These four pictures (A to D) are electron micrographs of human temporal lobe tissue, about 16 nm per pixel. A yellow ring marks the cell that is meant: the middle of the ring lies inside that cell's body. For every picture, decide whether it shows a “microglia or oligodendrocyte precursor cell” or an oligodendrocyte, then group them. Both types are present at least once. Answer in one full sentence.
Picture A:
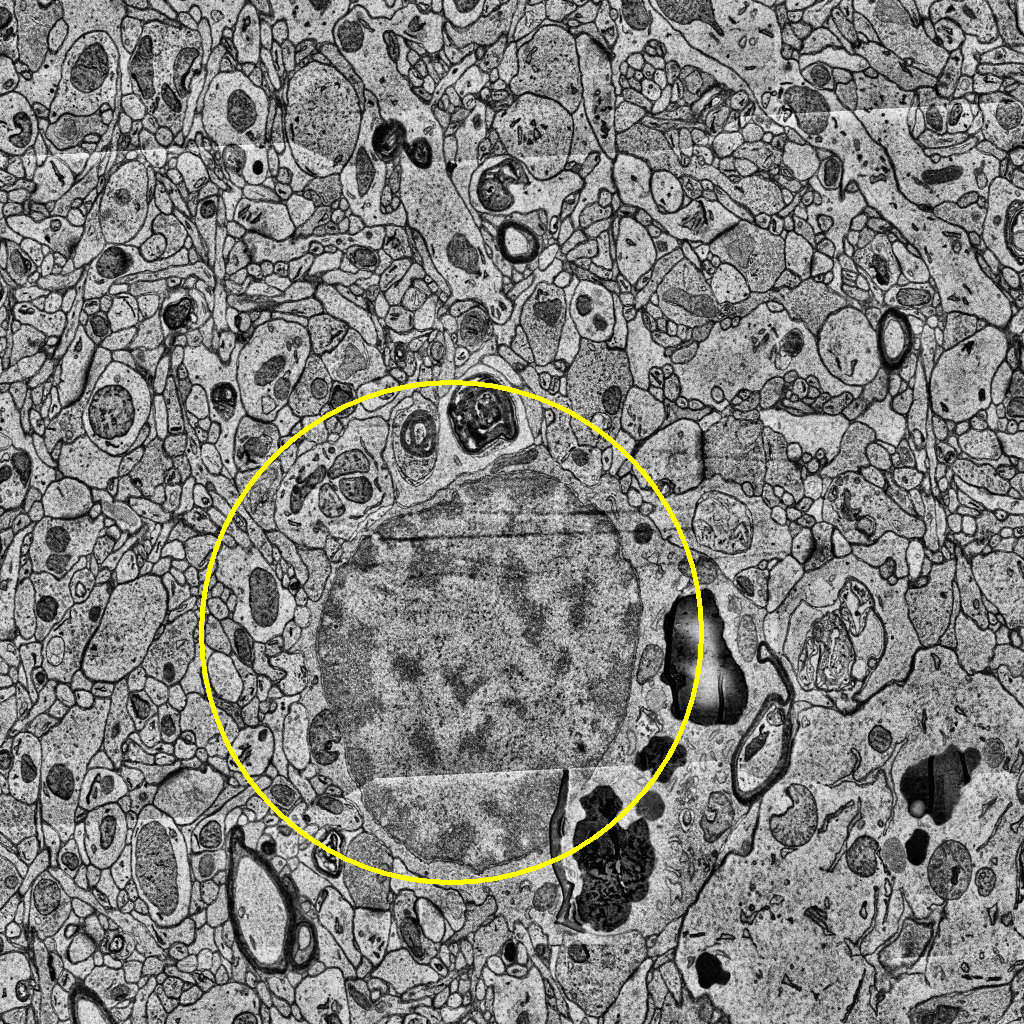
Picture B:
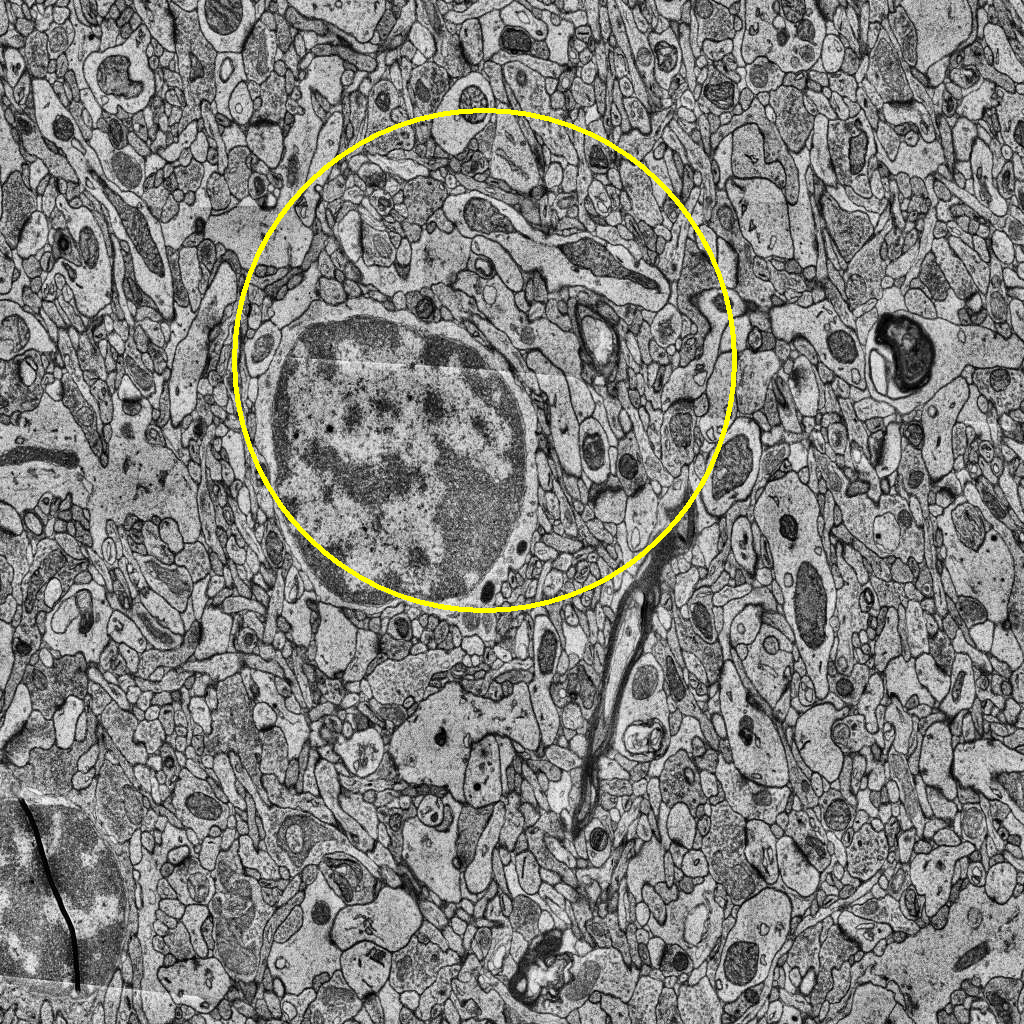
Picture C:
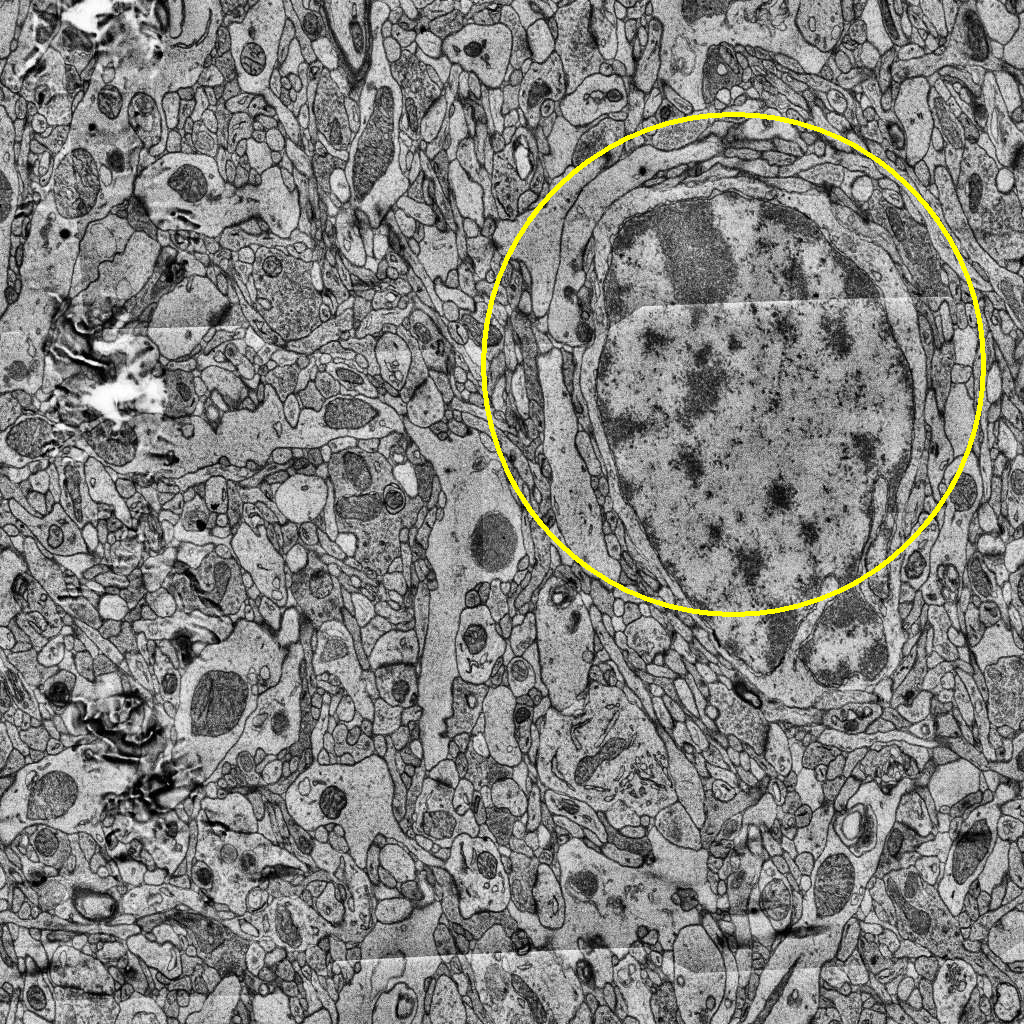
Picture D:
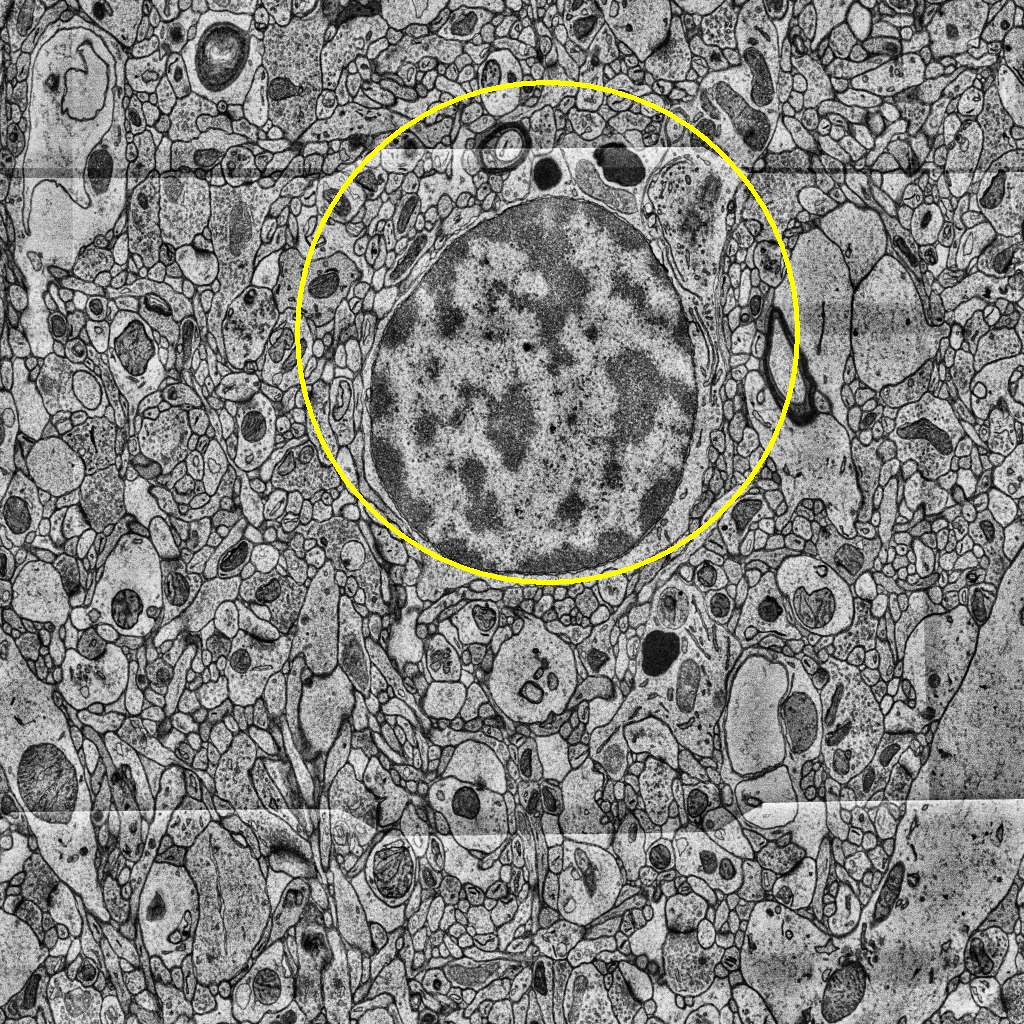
Pictures B, C and D show “microglia or oligodendrocyte precursor cells”; picture A shows an oligodendrocyte.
